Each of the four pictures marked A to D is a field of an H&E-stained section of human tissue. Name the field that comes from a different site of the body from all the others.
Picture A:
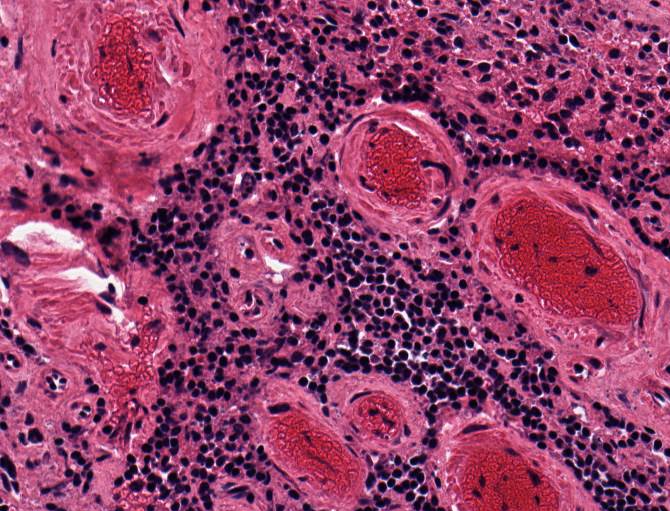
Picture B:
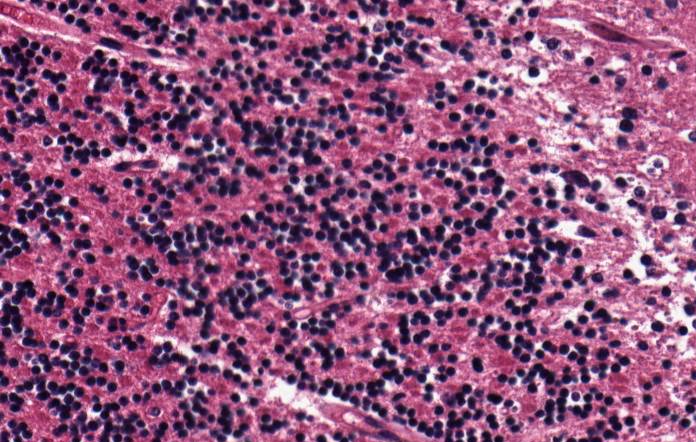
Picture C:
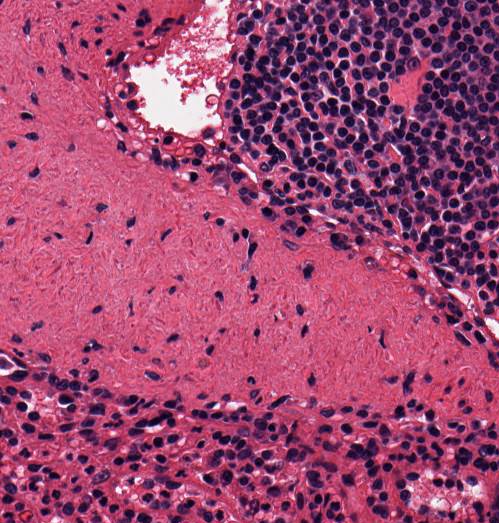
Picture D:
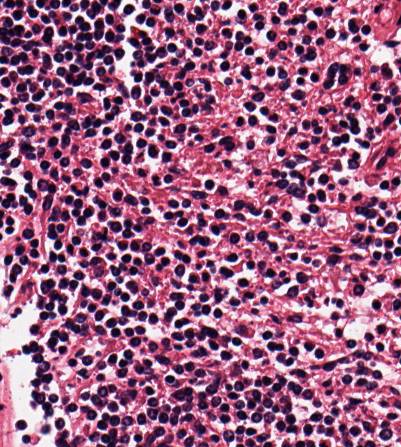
B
